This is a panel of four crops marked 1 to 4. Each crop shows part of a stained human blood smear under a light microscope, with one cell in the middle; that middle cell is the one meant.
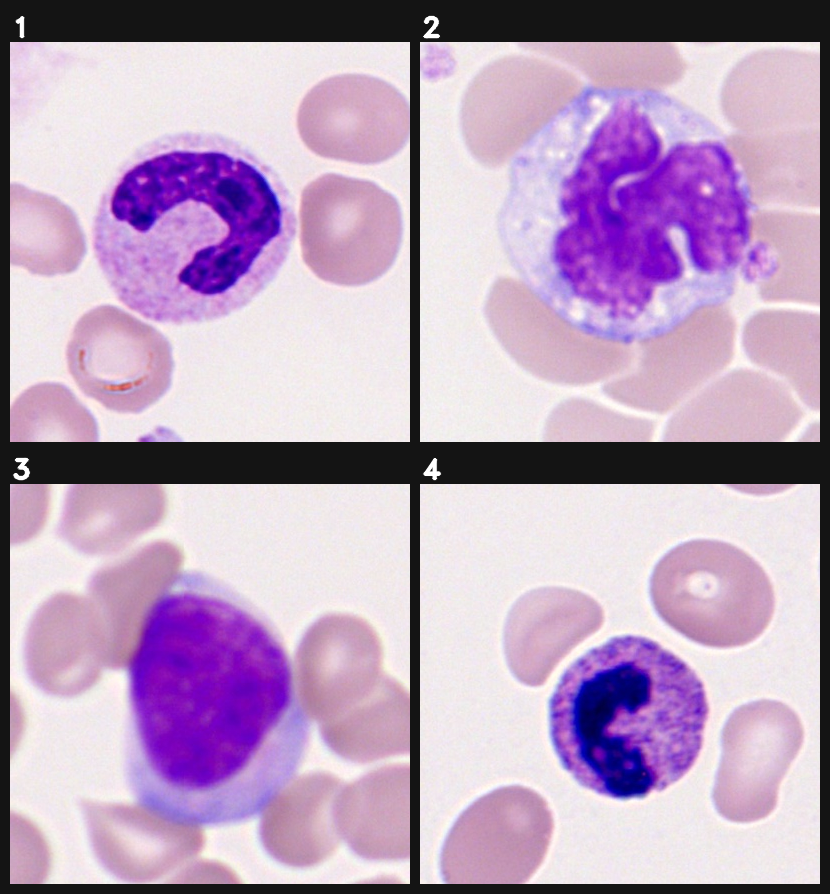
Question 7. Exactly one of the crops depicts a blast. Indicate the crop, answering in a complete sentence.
Crop 3 is the crop in which a blast is shown.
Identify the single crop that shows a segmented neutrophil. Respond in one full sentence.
As for which crop shows a segmented neutrophil, it is crop 4.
